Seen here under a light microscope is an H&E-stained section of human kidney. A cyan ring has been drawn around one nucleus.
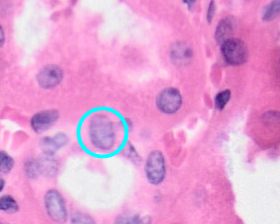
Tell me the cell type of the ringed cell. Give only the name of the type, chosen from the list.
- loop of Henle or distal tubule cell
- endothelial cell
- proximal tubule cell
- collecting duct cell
collecting duct cell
